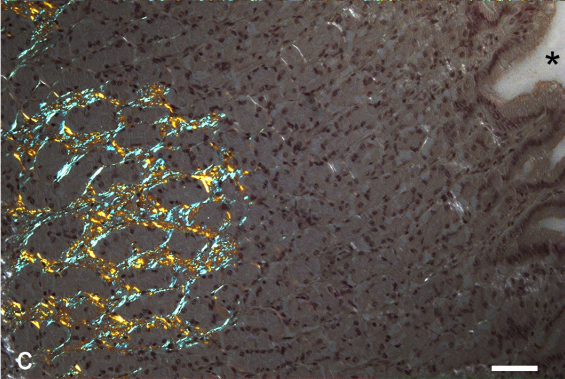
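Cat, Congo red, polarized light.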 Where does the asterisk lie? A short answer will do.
Lumen of the stomach.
